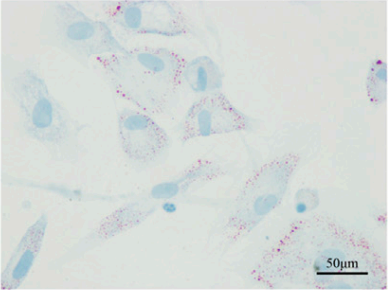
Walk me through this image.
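The cells are flattened and spread out, each with a single oval nucleus stained pale blue. Some cells hold many droplets while others have few or none. The droplets stay small and separate rather than merging into one large vacuole.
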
